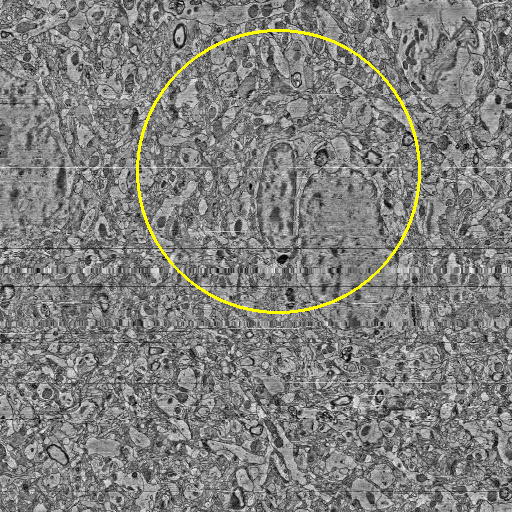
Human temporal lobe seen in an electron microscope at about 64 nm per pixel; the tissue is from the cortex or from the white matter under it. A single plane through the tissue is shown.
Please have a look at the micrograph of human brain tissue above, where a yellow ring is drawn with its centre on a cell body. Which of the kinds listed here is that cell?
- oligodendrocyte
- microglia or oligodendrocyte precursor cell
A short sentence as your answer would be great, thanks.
At the centre of the ring sits a microglial cell or oligodendrocyte precursor cell.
